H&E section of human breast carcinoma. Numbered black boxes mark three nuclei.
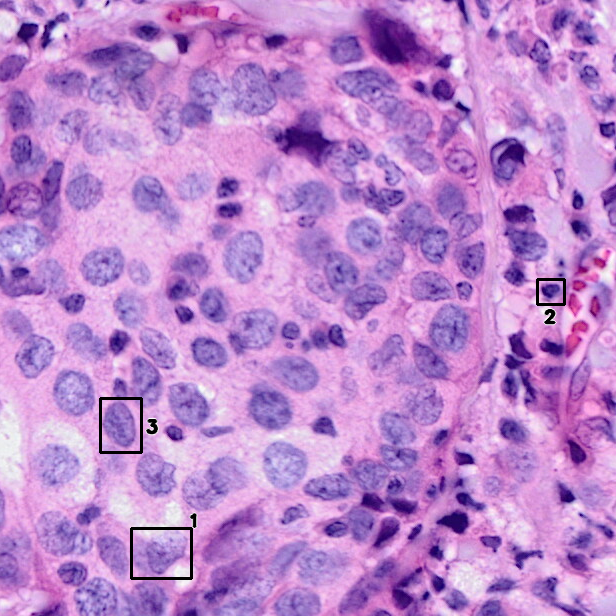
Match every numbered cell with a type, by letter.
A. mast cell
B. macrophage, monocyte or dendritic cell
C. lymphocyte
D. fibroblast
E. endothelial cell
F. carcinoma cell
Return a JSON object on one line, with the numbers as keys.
{"1": "F", "2": "C", "3": "F"}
